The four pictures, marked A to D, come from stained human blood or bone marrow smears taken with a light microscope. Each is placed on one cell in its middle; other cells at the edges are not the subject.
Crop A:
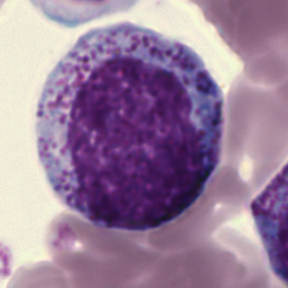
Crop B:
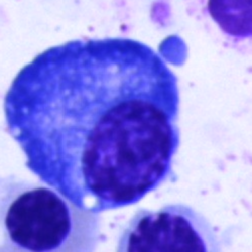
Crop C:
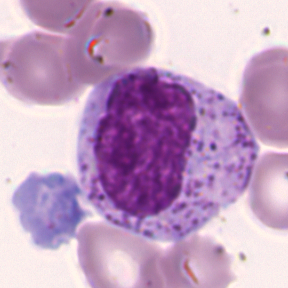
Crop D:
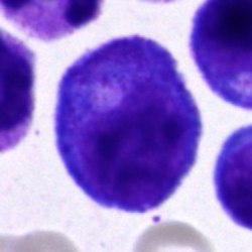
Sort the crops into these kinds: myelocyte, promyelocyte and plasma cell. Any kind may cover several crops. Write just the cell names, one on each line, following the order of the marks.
promyelocyte
plasma cell
myelocyte
promyelocyte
